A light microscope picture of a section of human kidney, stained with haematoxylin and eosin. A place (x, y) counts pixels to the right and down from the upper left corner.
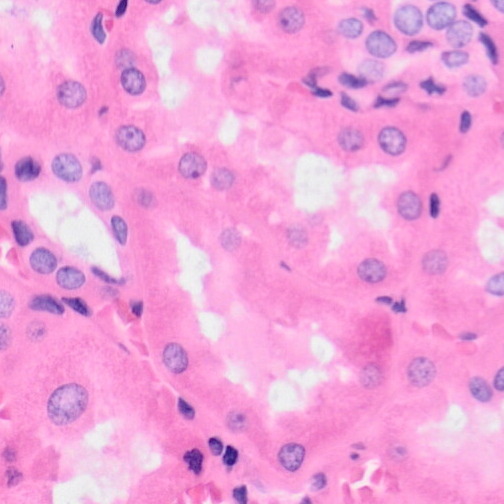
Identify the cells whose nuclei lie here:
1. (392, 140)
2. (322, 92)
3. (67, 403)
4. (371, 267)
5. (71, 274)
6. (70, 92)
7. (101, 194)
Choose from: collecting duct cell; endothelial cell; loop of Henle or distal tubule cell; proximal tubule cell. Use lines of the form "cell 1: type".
cell 1: proximal tubule cell
cell 2: endothelial cell
cell 3: proximal tubule cell
cell 4: proximal tubule cell
cell 5: collecting duct cell
cell 6: proximal tubule cell
cell 7: collecting duct cell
